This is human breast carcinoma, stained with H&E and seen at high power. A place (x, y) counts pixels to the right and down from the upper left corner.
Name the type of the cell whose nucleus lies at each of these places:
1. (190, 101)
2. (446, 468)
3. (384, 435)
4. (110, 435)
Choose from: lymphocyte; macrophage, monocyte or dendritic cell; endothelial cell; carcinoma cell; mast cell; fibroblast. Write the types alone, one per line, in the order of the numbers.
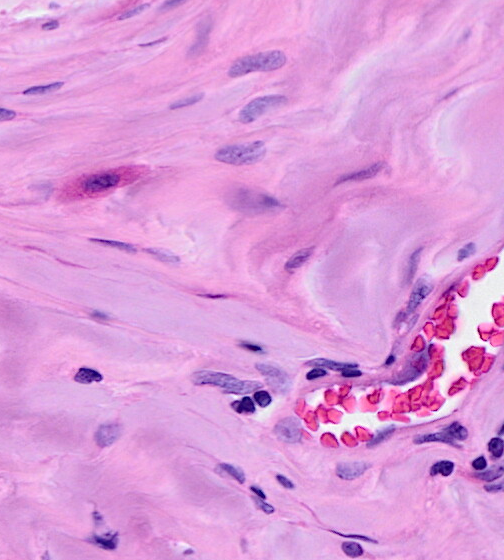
fibroblast
lymphocyte
endothelial cell
fibroblast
